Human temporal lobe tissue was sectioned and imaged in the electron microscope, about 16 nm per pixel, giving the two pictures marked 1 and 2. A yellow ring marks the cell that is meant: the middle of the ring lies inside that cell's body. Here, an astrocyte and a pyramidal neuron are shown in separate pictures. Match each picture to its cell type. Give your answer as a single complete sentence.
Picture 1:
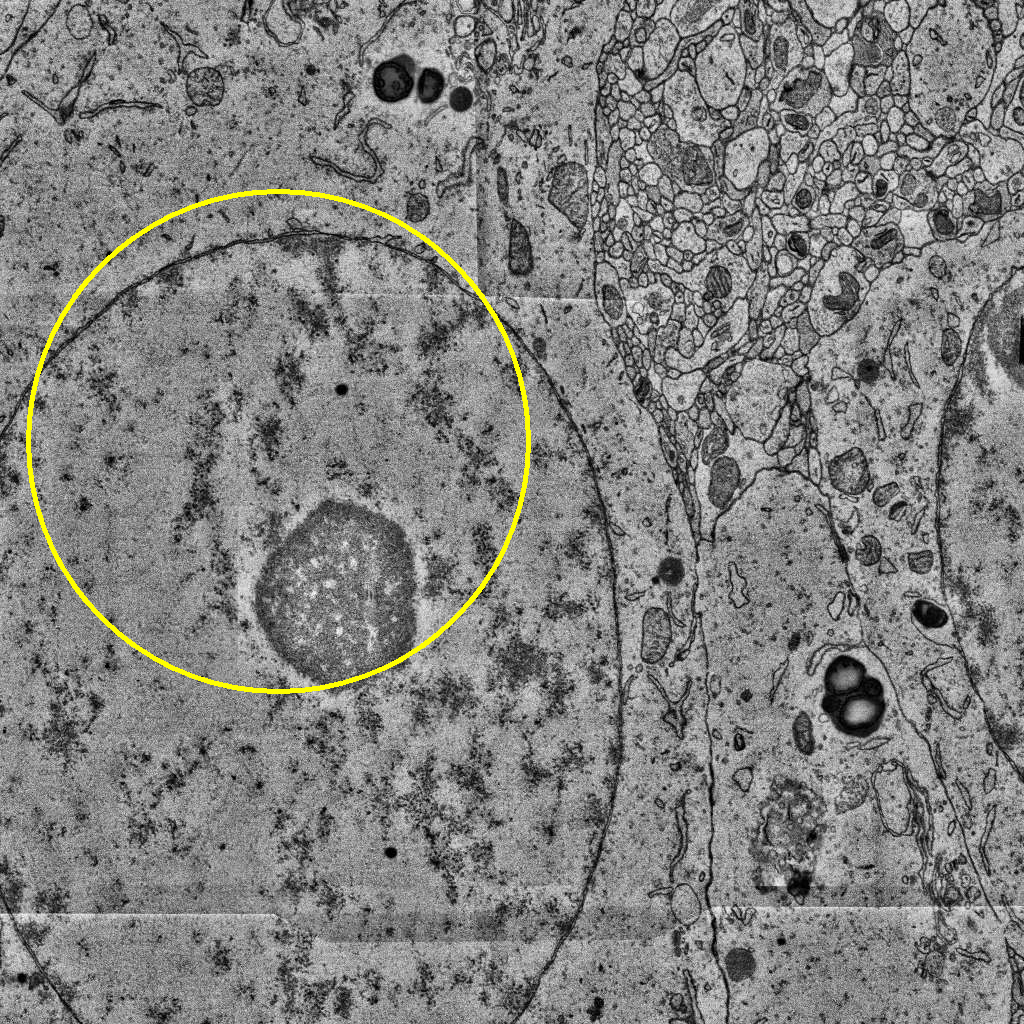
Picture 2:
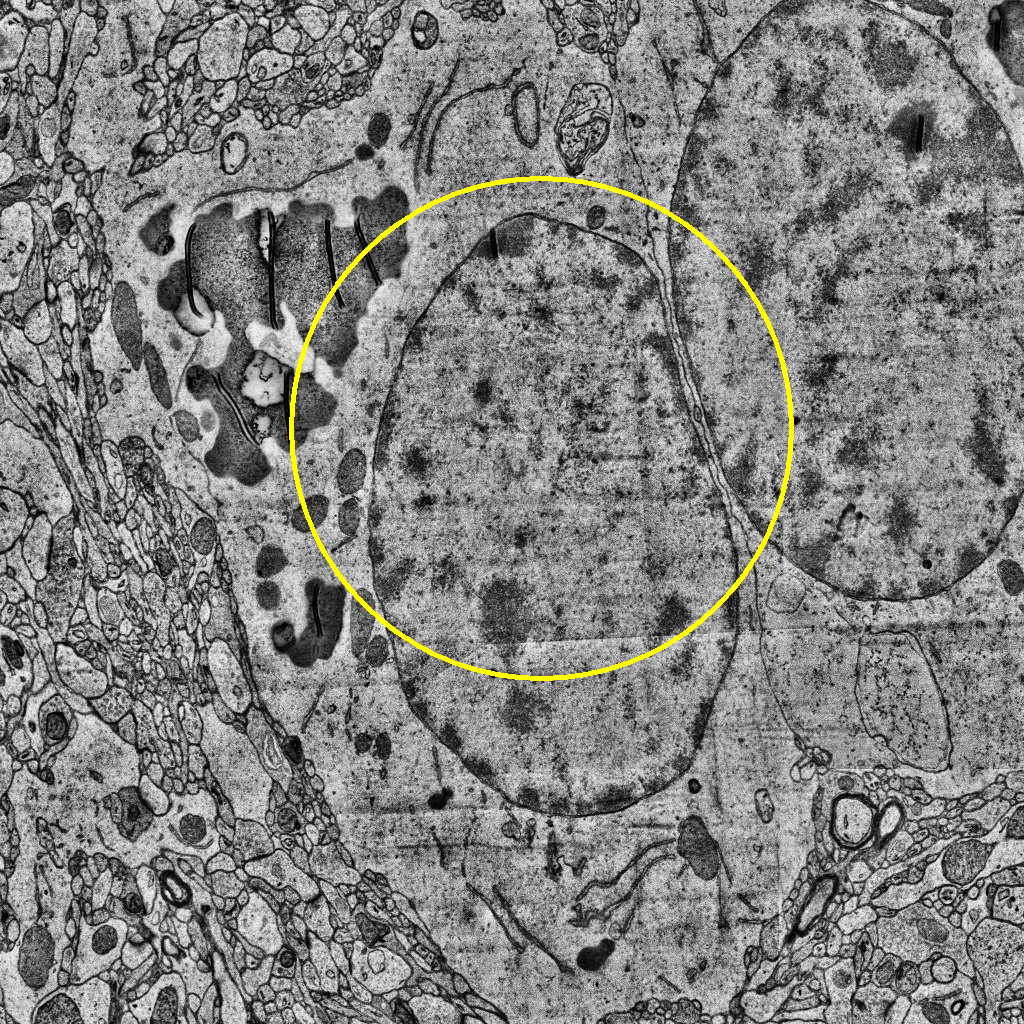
Picture 1 shows a pyramidal neuron and picture 2 shows an astrocyte.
